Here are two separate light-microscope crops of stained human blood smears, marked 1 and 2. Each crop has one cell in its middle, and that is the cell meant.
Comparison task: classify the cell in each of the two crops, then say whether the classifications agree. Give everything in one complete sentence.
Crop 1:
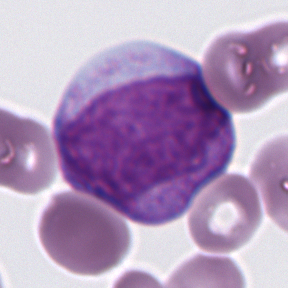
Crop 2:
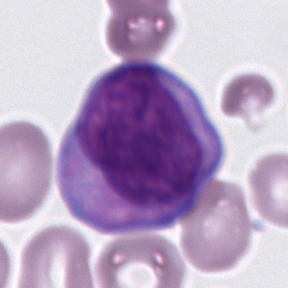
Yes, that holds, both crops show atypical promyelocytes.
